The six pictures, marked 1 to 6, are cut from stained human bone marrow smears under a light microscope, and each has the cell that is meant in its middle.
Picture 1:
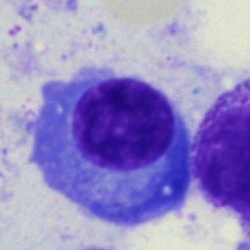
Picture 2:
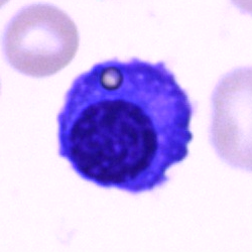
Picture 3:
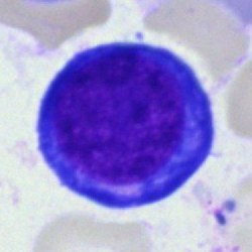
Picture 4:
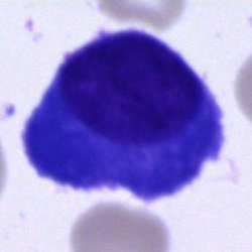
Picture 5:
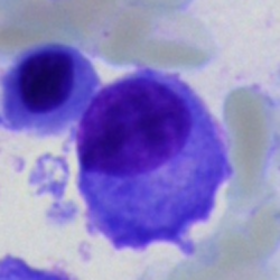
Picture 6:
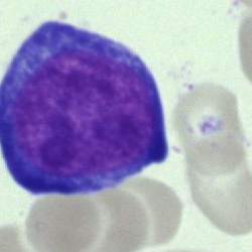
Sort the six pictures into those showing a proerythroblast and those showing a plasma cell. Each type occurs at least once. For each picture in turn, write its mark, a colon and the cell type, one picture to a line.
1: plasma cell
2: plasma cell
3: proerythroblast
4: plasma cell
5: plasma cell
6: proerythroblast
